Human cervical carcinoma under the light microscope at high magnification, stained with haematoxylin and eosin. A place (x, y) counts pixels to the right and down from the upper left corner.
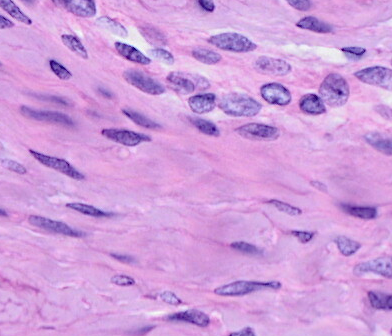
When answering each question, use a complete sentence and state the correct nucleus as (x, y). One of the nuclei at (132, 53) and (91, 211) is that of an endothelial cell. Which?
Belonging to an endothelial cell is the nucleus at (132, 53).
